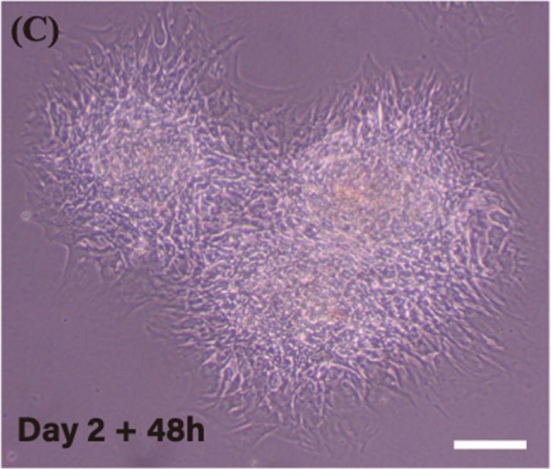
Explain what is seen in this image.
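Spheroids lying on a flat culture surface have spread out into a broad sheet of attached cells. Slightly denser, brownish central areas still mark where the cell aggregates were. From these centres many elongated, spindle-shaped cells radiate outward, often in a roughly radial arrangement. Toward the periphery the cells are more loosely spaced and show long, thin processes. The outgrowths from neighbouring spheroids have met and merged, so the separate aggregates now form one continuous irregular patch.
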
